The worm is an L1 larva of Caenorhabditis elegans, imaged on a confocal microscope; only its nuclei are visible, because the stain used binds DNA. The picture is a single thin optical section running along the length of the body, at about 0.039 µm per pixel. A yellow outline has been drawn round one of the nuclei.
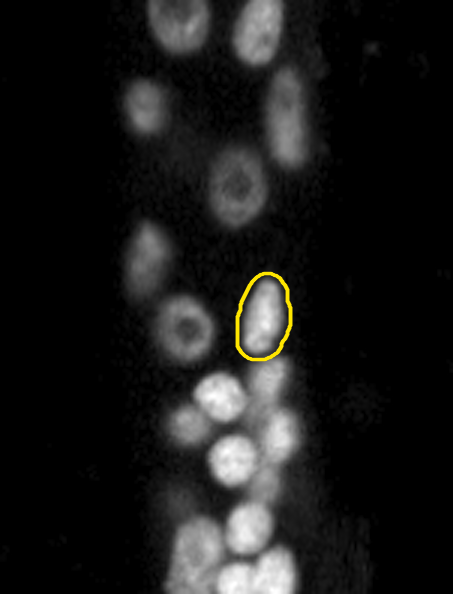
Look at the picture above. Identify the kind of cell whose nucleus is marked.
enteric muscle cell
